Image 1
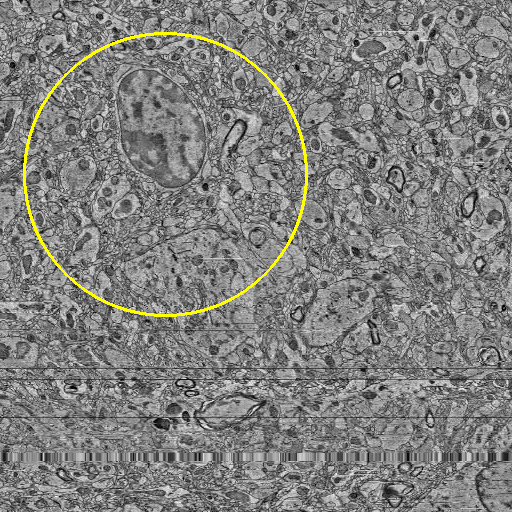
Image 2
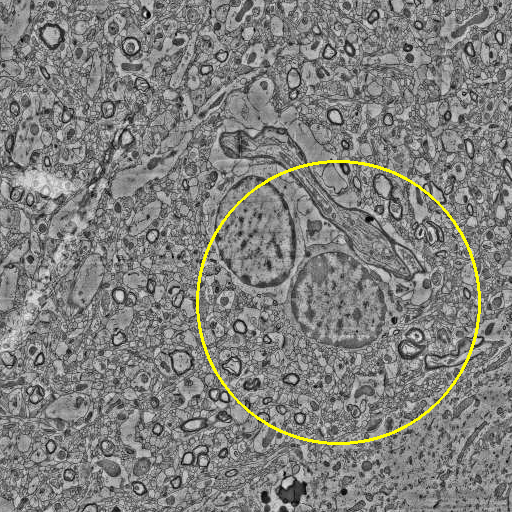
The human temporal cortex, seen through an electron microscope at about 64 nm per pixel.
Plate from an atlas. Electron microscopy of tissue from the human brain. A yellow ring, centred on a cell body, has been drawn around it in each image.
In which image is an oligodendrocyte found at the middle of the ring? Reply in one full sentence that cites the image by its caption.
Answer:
The requested cell is the one at the ring's centre in Image 2.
